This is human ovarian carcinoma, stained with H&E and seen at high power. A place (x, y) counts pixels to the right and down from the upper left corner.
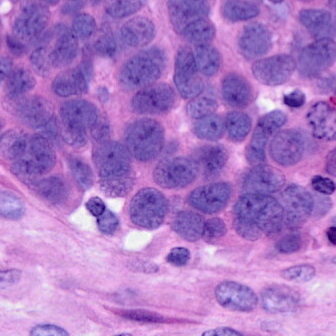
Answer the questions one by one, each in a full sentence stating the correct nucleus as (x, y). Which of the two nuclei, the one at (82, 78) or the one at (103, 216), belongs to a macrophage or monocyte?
The member of the pair belonging to a macrophage or monocyte is the nucleus at (103, 216).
